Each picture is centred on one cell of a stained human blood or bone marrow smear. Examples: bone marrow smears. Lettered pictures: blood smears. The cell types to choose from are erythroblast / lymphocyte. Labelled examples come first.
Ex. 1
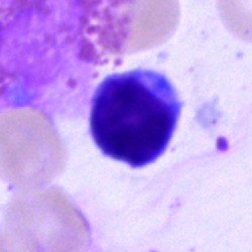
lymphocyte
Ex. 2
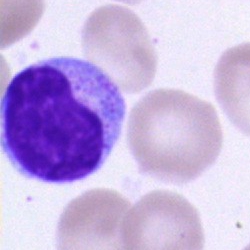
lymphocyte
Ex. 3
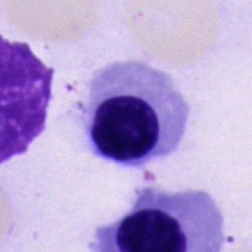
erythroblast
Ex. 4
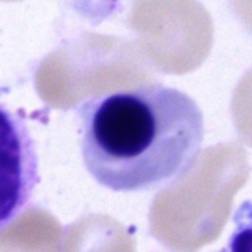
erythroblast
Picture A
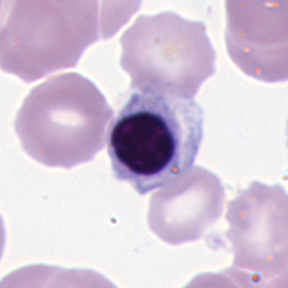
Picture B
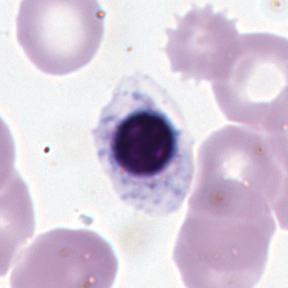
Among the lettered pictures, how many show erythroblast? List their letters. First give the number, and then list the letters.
2, namely A, B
